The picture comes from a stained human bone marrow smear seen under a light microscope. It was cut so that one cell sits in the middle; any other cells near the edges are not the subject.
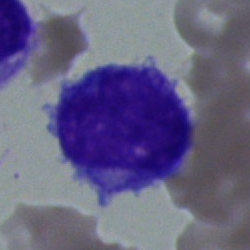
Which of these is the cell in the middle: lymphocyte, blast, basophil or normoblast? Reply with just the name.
blast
